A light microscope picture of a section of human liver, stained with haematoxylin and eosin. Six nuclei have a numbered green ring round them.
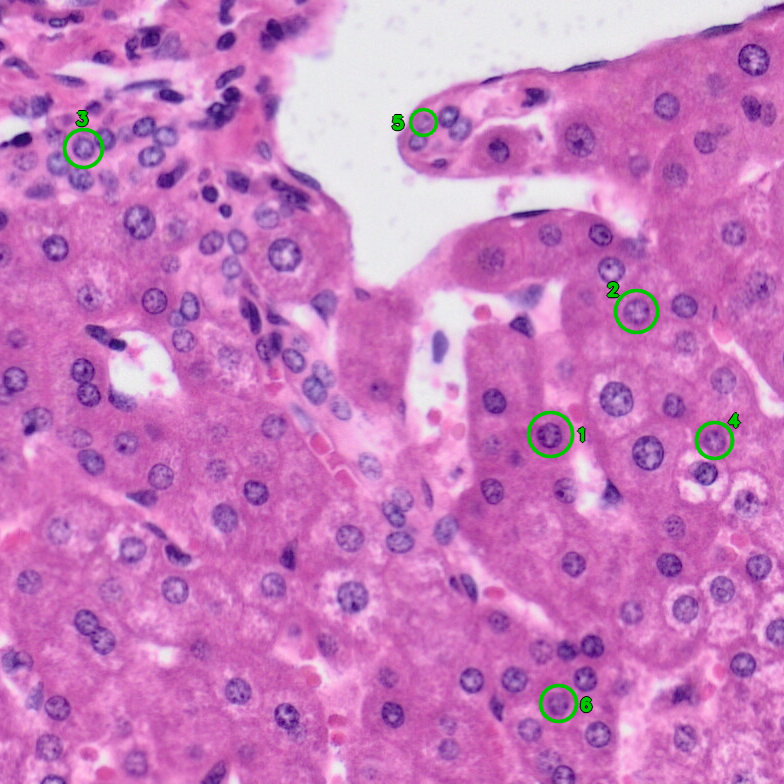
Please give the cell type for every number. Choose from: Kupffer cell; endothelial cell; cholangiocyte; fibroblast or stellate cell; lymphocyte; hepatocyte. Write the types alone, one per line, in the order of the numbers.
hepatocyte
hepatocyte
cholangiocyte
hepatocyte
cholangiocyte
hepatocyte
